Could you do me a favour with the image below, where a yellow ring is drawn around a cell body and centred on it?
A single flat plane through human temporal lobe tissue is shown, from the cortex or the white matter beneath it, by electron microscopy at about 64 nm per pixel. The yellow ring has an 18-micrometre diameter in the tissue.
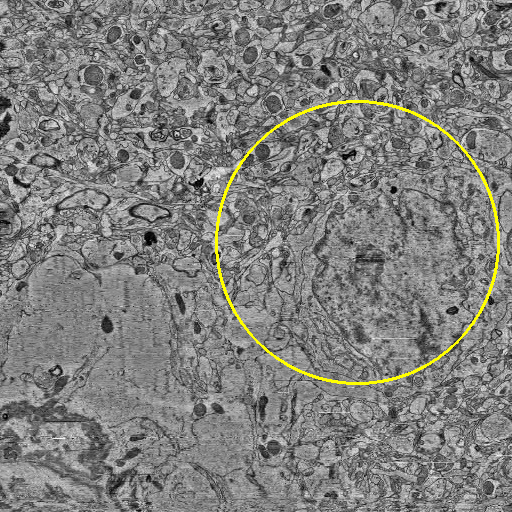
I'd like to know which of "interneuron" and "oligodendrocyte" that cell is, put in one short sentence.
The cell at the ring's centre is an interneuron.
